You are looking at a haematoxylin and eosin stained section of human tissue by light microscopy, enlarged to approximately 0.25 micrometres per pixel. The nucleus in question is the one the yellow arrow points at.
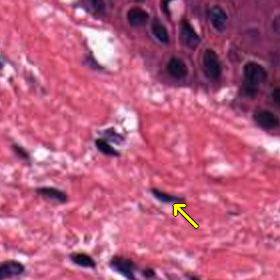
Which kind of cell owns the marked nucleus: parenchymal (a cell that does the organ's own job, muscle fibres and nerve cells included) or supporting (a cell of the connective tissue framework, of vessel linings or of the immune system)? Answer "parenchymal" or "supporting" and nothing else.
supporting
